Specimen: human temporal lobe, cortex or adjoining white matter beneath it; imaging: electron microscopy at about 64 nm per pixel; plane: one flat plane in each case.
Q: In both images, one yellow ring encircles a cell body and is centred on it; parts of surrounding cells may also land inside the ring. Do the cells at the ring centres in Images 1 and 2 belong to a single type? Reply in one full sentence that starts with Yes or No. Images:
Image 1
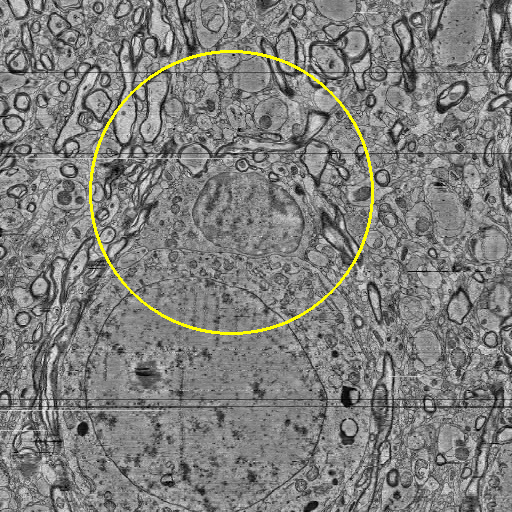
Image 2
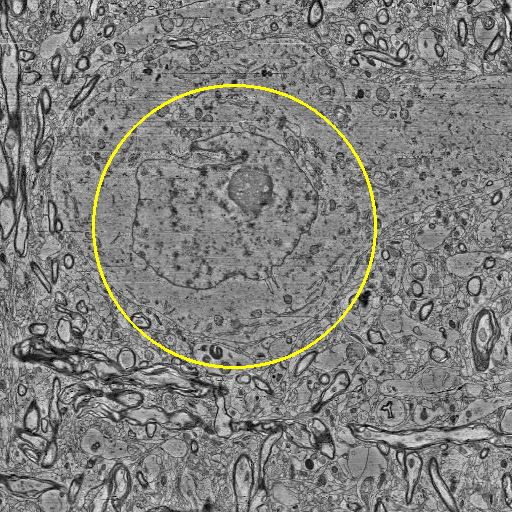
No, the cells at the ring centres in Images 1 and 2 are of two types.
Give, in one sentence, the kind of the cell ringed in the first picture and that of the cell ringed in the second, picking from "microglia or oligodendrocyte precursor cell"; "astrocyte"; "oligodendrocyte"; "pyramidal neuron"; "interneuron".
For the first picture it is an oligodendrocyte; for the second, a pyramidal neuron.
